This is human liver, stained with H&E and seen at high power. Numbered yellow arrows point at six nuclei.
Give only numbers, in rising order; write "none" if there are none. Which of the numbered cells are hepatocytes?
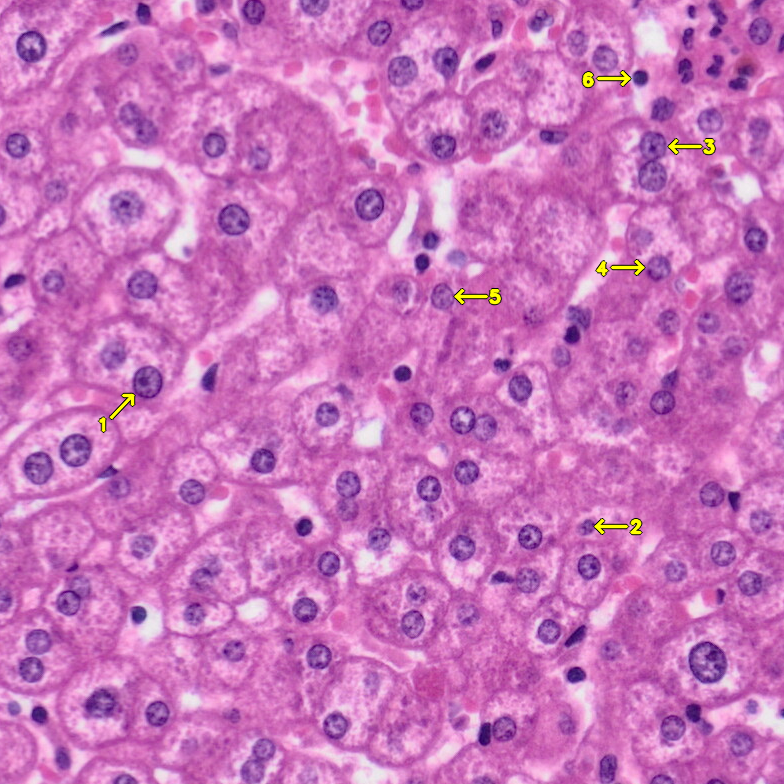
1, 3, 4, 5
